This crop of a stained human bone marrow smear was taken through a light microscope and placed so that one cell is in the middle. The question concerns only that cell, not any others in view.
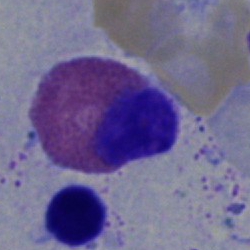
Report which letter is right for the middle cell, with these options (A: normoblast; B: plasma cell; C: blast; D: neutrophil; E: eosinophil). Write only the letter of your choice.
E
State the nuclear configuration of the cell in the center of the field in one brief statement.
A single compact nucleus, round, oval or kidney-shaped, is what this cell shows.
